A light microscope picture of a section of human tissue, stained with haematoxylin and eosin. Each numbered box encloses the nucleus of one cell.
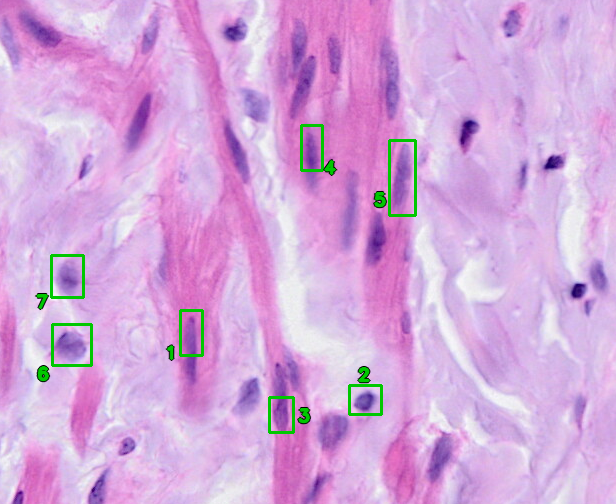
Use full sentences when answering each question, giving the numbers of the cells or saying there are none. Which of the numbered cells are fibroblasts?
Cells 6 and 7 in the section are typed as fibroblasts.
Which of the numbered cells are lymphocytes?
Unlike the other numbered cells, cell 2 is a lymphocyte.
